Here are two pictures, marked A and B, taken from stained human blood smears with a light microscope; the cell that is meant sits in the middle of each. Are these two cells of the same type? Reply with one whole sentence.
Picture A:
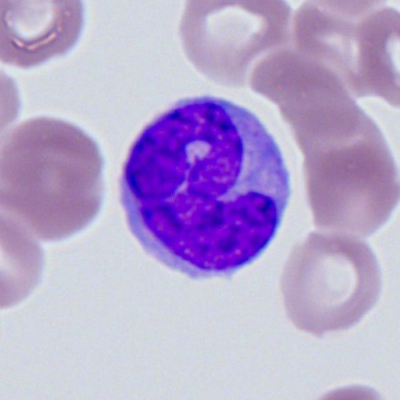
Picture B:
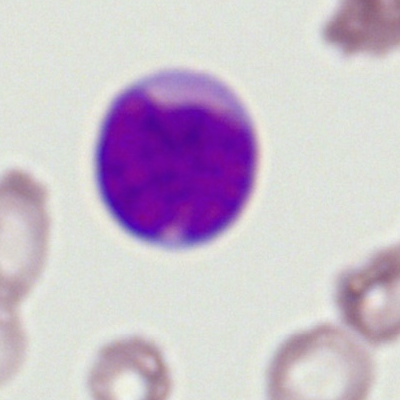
No, they differ: the cell is a monocyte in picture A and a myeloblast in picture B.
